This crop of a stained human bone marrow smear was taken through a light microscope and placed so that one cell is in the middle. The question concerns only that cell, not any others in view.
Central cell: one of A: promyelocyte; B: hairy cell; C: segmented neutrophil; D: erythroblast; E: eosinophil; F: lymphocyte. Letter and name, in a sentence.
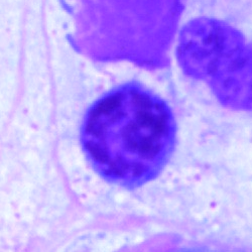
For this crop, option F is right, the centered cell being a lymphocyte.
